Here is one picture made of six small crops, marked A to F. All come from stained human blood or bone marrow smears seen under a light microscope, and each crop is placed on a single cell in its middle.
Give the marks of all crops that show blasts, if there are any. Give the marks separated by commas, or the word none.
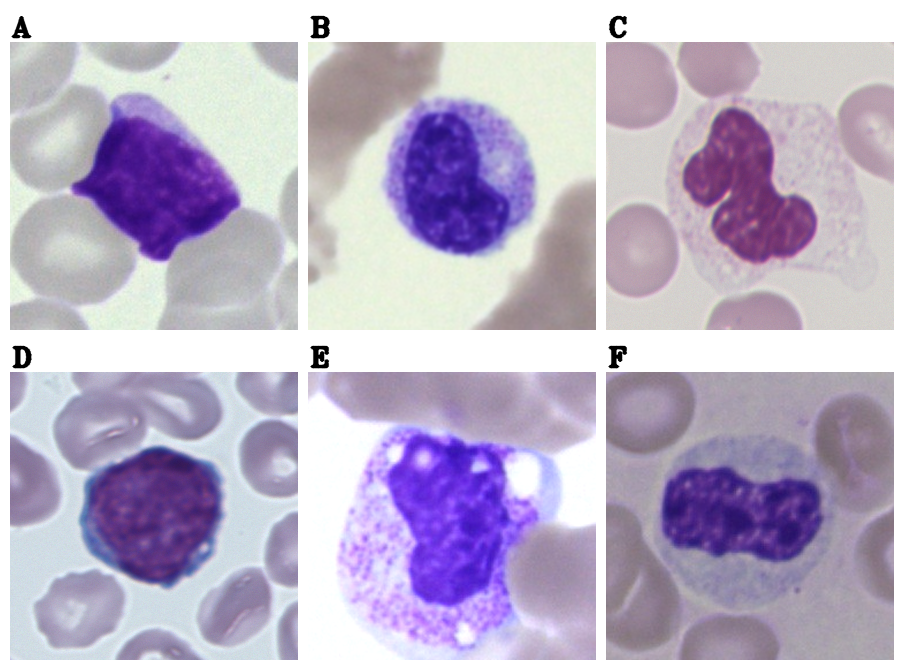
A, D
